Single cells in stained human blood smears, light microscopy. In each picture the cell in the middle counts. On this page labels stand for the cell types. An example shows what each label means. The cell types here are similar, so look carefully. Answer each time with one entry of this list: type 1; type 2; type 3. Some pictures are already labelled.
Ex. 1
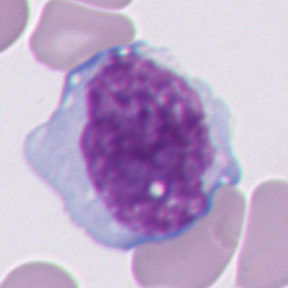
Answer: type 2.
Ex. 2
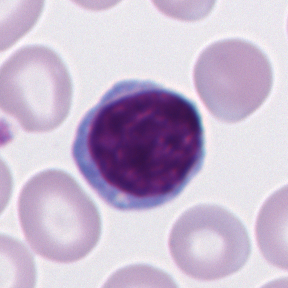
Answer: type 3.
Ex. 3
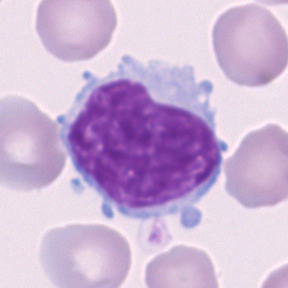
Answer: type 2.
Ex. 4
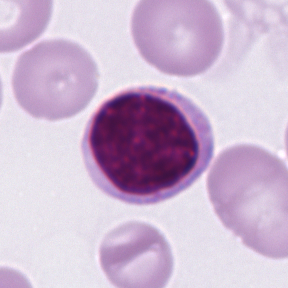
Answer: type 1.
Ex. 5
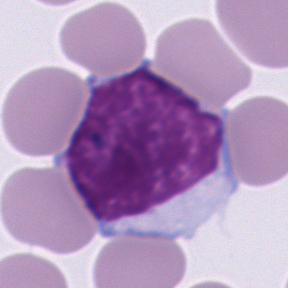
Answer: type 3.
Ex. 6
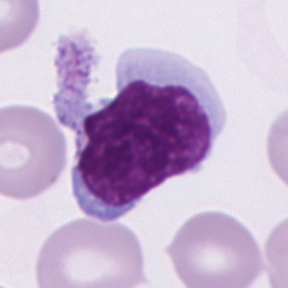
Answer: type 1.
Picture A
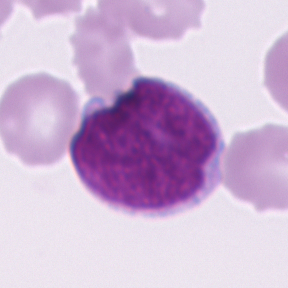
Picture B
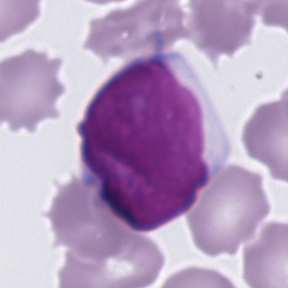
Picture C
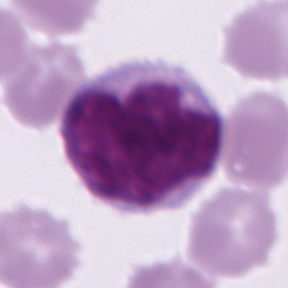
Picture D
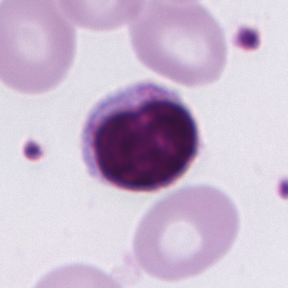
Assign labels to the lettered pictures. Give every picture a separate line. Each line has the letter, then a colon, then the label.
A: type 2.
B: type 2.
C: type 2.
D: type 1.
